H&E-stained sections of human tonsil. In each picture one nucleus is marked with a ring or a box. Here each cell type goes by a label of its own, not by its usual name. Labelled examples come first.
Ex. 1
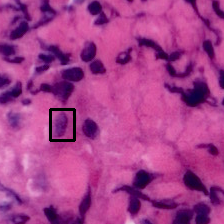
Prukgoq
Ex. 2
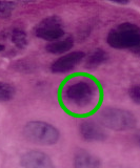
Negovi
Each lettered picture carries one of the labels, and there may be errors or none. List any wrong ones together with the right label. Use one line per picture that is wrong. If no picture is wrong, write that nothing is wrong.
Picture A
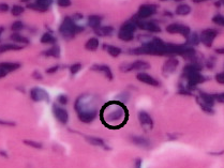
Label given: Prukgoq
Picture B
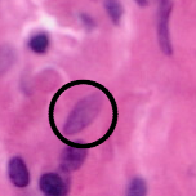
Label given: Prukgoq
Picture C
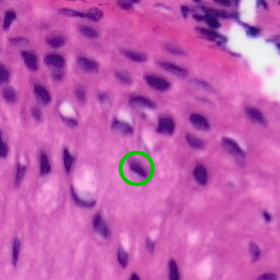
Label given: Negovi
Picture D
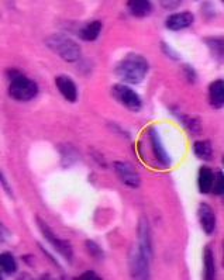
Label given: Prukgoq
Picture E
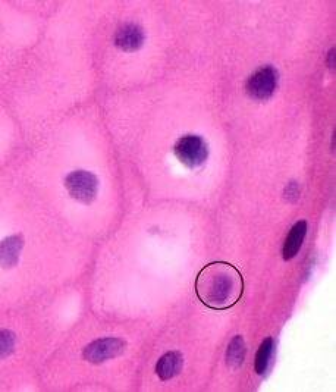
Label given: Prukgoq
E: change Prukgoq to Negovi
